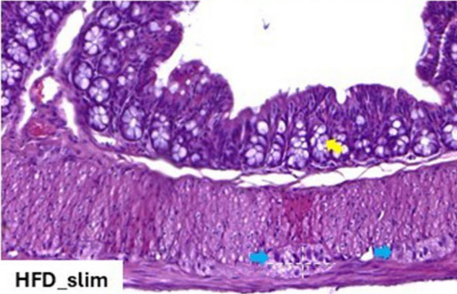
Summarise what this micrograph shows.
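This section of colon shows crypts of Lieberkühn at the top, crowded with goblet cells that appear as rounded clear, pale vacuoles set among purple columnar epithelial cells with dark nuclei. The crypts are separated by slender lamina propria. Beneath a narrow cleft, a broad layer of pink smooth muscle with scattered elongated nuclei forms most of the wall. Toward its outer side, two small groups of pale, rounded cells mark ganglia of the myenteric plexus, lying just inside a thin outer connective tissue layer.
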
